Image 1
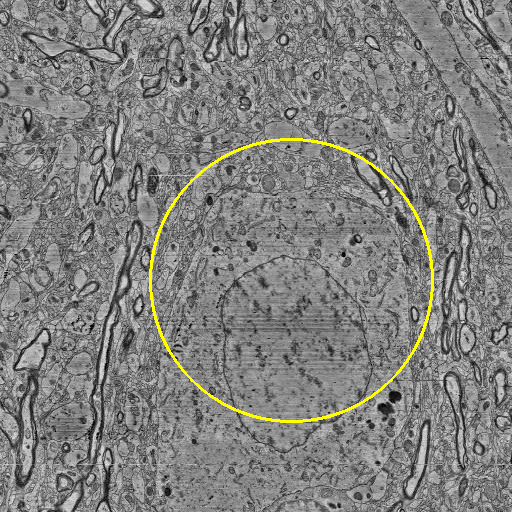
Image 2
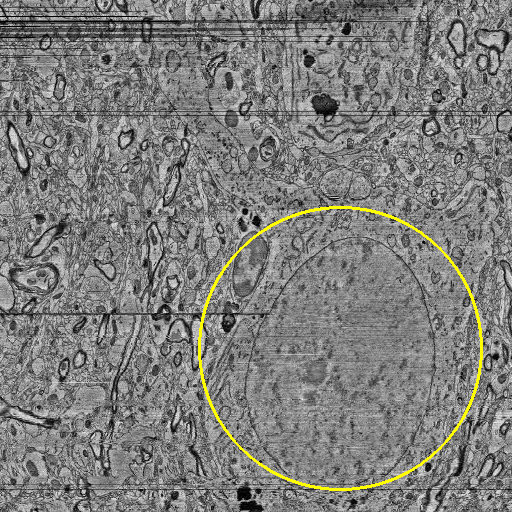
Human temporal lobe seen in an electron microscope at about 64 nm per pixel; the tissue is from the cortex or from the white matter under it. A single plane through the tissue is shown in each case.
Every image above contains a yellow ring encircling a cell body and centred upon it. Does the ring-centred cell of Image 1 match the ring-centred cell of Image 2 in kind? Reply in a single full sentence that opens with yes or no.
Yes, the cell at the ring's centre in Image 1 is the same kind as that in Image 2.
